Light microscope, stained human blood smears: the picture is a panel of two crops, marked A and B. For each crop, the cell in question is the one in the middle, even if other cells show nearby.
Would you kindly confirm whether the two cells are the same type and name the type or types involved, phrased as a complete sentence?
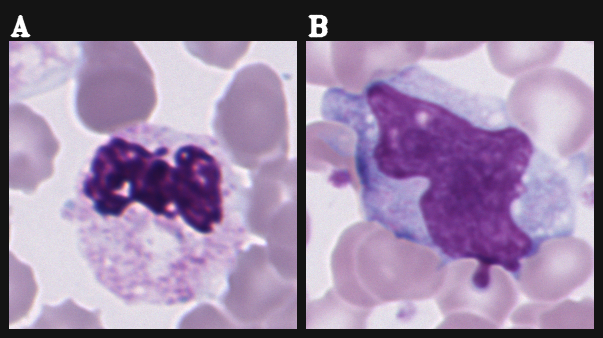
No, a segmented neutrophil is shown in crop A and a monocyte in crop B.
